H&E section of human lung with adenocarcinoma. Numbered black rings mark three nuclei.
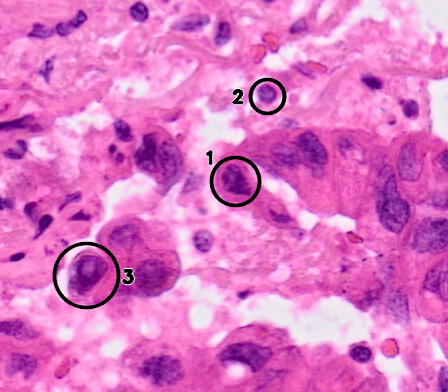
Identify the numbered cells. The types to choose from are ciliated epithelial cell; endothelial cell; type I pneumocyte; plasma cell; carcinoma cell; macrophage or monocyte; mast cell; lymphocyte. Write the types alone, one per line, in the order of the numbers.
carcinoma cell
lymphocyte
carcinoma cell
